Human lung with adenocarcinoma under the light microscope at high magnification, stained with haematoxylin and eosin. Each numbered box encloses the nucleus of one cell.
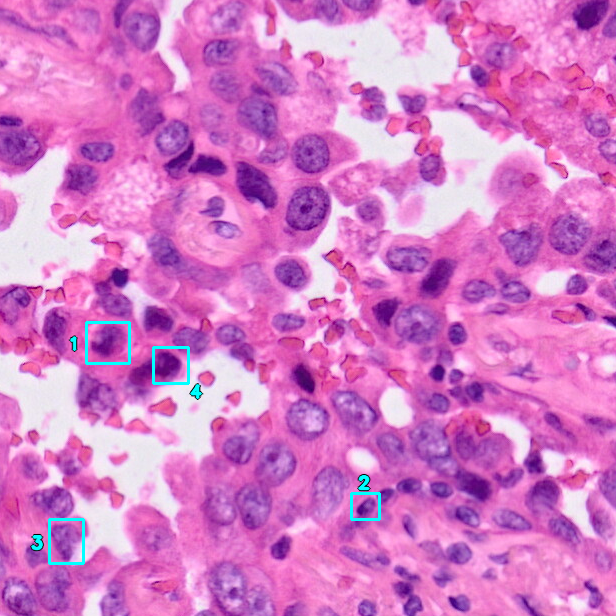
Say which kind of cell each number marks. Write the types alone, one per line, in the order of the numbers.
carcinoma cell
lymphocyte
carcinoma cell
carcinoma cell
